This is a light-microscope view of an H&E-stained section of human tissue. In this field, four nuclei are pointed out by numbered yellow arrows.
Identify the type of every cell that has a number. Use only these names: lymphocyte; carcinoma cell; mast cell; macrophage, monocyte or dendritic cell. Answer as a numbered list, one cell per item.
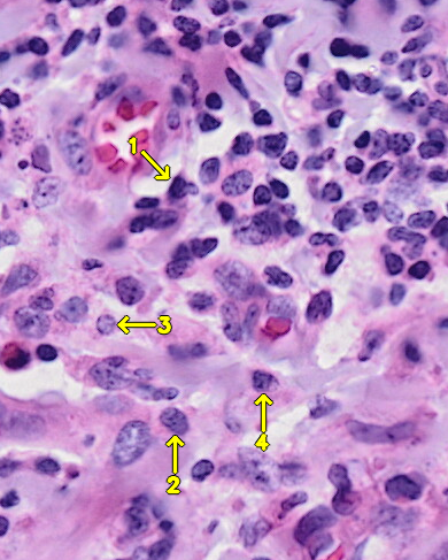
1. lymphocyte
2. mast cell
3. macrophage, monocyte or dendritic cell
4. mast cell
